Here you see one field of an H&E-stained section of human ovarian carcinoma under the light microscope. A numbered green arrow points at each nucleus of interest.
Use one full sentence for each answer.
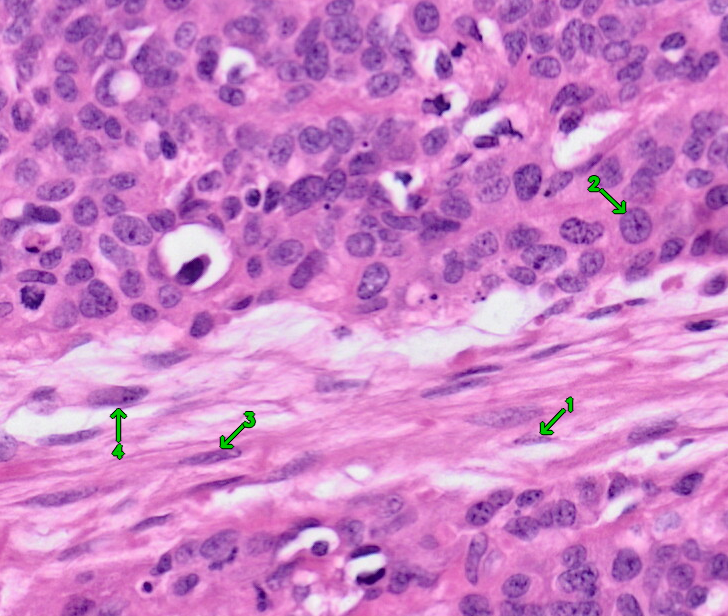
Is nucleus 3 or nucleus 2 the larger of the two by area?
The larger nucleus is 2, at roughly 1.5 times the area of 3.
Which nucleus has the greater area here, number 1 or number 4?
It is nucleus 4, which covers about 2.5 times the area of nucleus 1.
